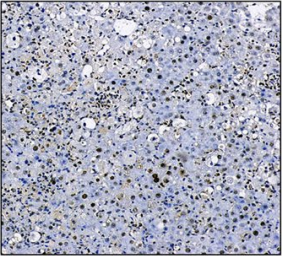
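This is liver parenchyma with plates of polygonal hepatocytes, many of whose round nuclei are stained brown while others remain blue. The brown nuclei are scattered widely across the field rather than confined to one zone. Some cells look pale and vacuolated, leaving clear spaces, and small darker nuclei lie between the plates.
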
